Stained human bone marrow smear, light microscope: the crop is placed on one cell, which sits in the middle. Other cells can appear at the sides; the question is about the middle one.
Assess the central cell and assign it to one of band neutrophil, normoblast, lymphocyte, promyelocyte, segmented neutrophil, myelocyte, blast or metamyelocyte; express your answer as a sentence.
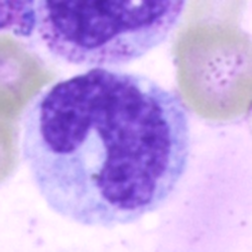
Regarding the central cell, it is a band neutrophil.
